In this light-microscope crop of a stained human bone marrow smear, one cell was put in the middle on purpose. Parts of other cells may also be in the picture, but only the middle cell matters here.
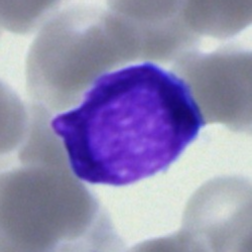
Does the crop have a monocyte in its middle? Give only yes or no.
no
